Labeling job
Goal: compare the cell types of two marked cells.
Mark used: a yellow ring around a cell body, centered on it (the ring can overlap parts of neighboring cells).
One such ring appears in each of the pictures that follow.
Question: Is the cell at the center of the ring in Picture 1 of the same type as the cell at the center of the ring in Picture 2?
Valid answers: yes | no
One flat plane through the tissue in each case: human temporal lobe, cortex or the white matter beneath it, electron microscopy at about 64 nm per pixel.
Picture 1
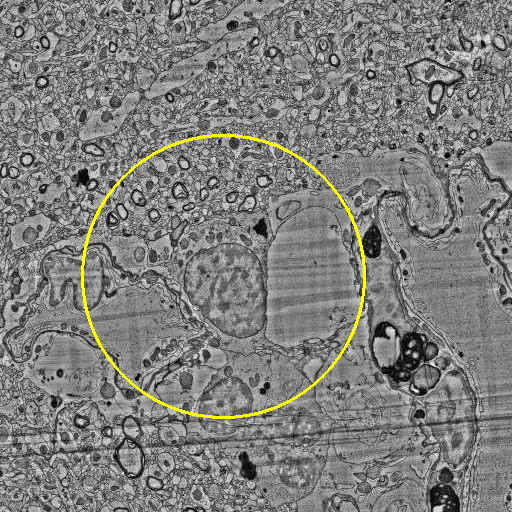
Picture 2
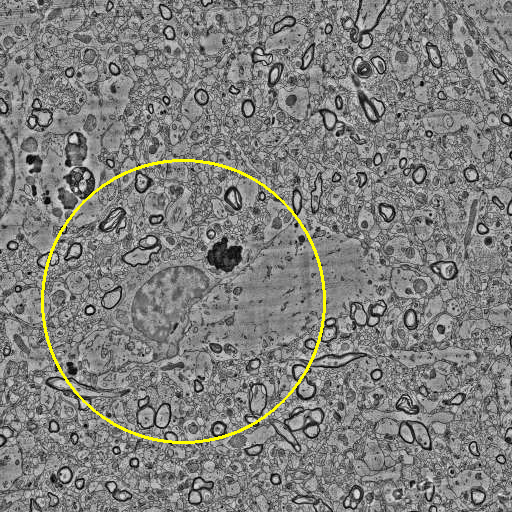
yes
